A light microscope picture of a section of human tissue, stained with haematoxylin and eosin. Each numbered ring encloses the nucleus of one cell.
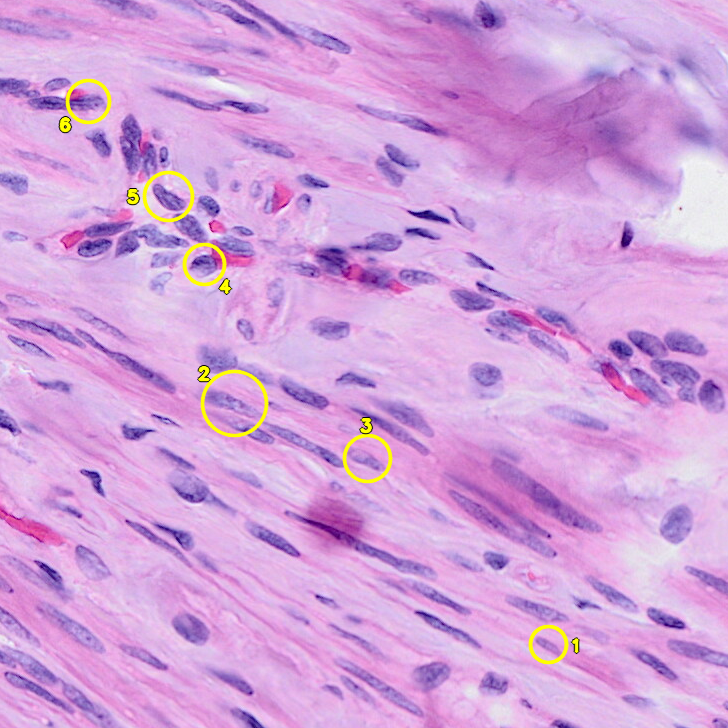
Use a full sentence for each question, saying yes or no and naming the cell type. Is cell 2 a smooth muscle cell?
Yes, number 2 is assigned to a cell that is a smooth muscle cell.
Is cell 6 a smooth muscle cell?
No, cell 6 should be read as an endothelial cell instead of a smooth muscle cell.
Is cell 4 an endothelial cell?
Yes, the cell with number 4 is an endothelial cell.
